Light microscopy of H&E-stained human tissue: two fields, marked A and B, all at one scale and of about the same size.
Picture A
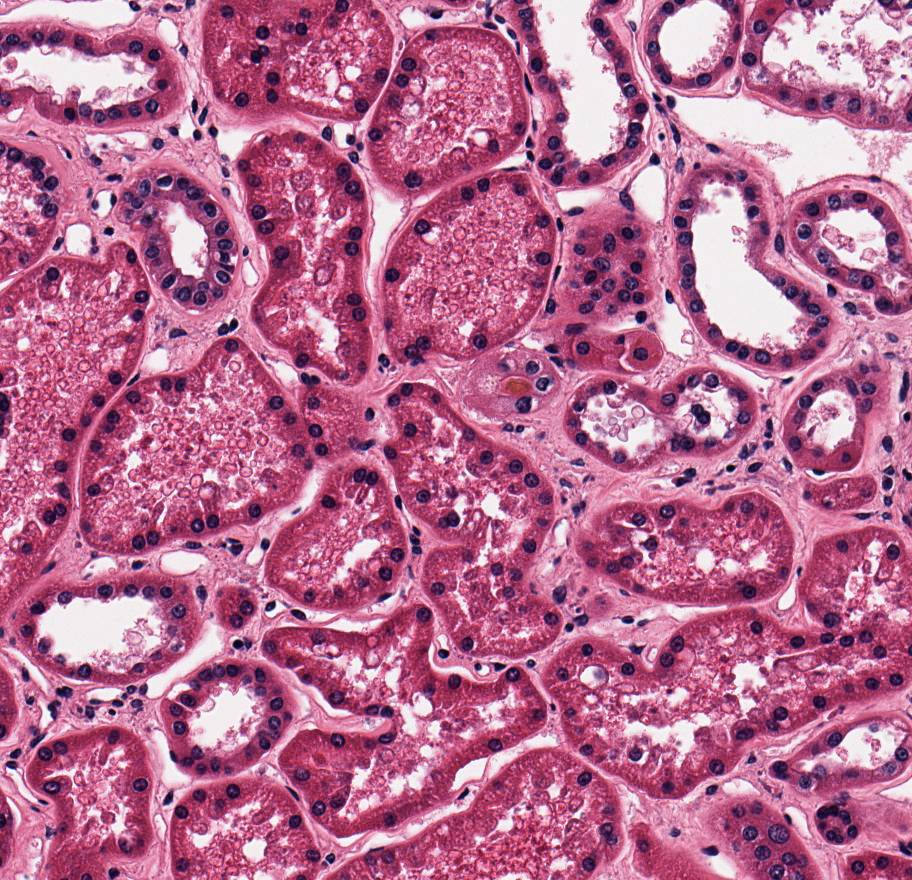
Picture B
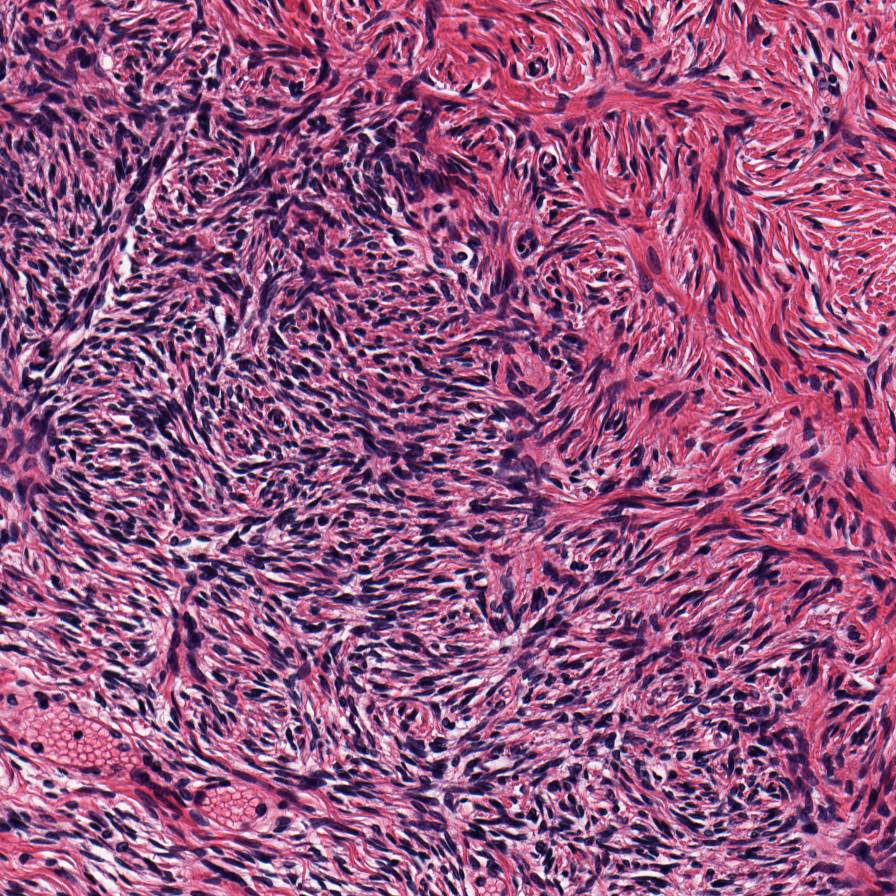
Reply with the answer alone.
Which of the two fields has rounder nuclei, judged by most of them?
A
